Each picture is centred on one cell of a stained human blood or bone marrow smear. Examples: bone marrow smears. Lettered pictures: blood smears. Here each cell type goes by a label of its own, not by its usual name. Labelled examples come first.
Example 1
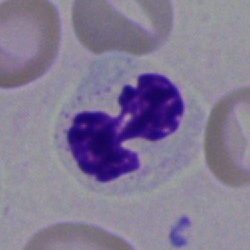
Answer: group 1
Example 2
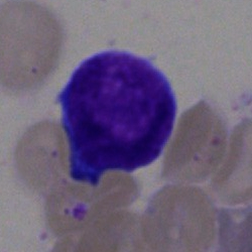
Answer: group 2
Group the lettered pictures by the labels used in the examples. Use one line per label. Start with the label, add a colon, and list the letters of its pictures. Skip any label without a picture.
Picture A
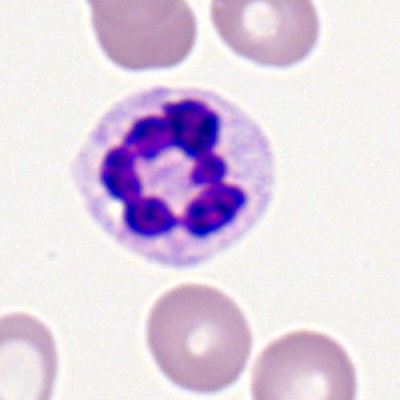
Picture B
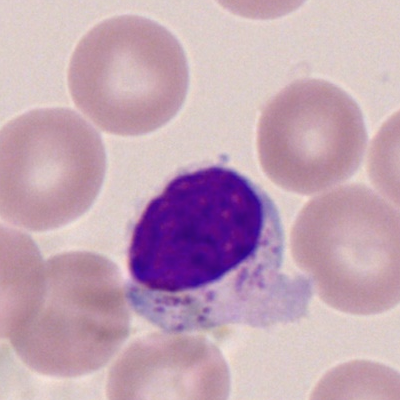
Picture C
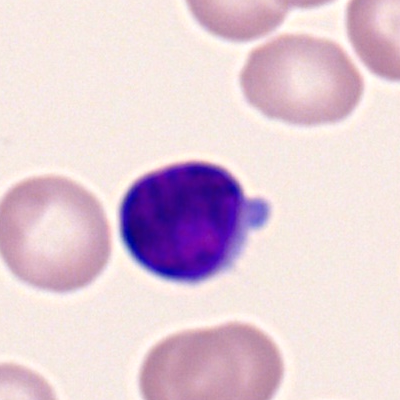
group 1: A
group 2: B, C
